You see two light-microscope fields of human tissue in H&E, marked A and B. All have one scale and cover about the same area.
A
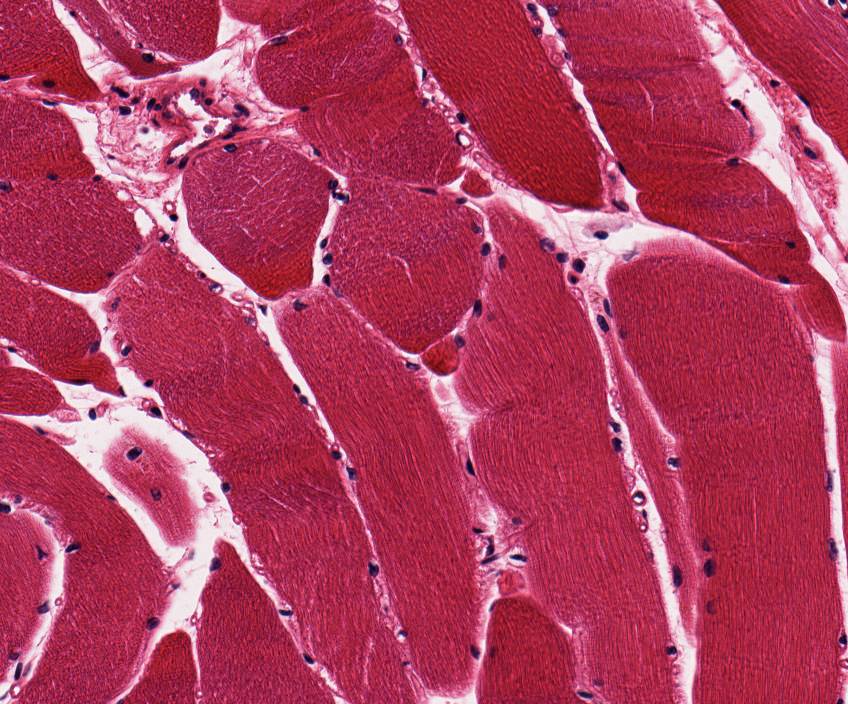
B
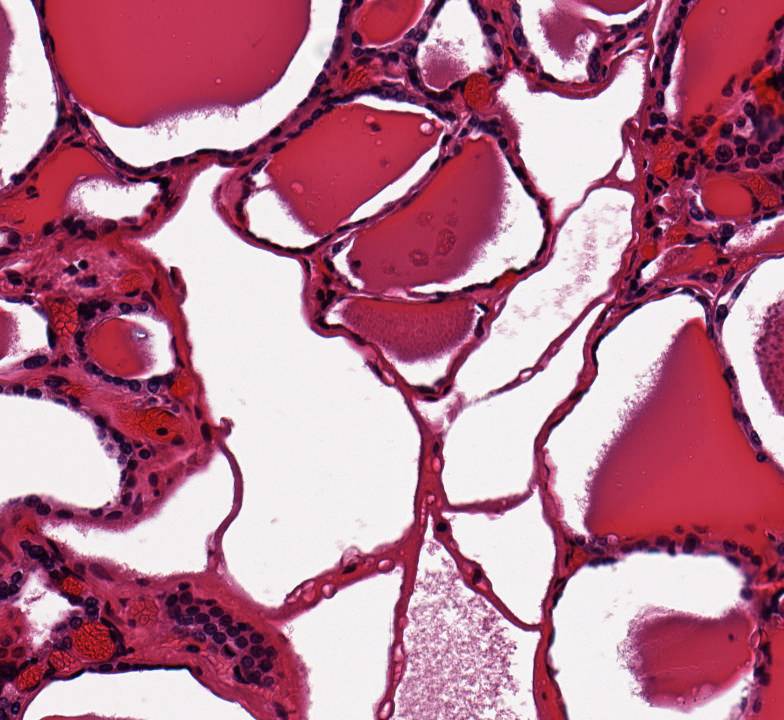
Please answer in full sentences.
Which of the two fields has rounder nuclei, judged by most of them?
On the whole the nuclei of field A are rounder than those of field B.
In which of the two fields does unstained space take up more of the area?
Unstained space takes up more of field B than of field A.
